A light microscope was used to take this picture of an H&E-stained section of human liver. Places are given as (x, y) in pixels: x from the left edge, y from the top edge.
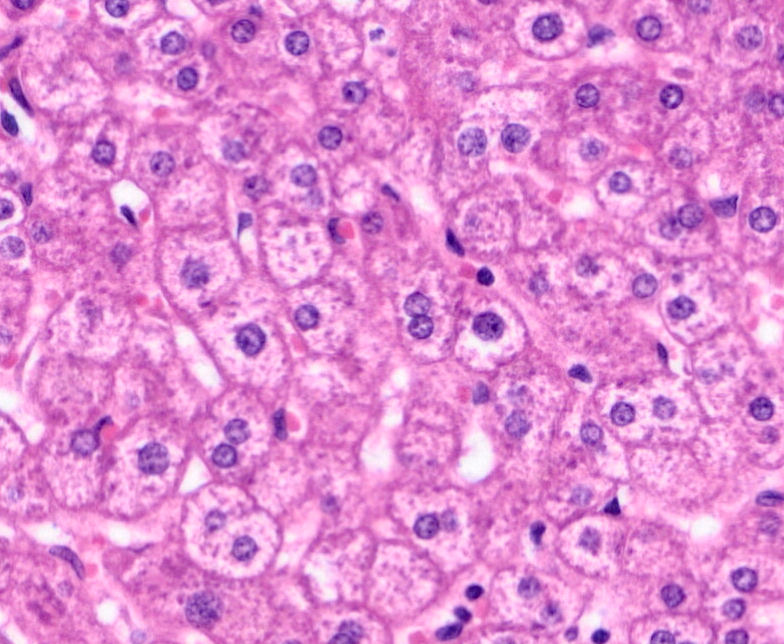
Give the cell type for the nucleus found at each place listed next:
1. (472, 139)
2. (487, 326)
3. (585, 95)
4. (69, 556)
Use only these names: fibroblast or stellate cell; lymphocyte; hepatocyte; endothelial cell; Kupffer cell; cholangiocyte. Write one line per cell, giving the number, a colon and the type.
1: hepatocyte
2: hepatocyte
3: hepatocyte
4: Kupffer cell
